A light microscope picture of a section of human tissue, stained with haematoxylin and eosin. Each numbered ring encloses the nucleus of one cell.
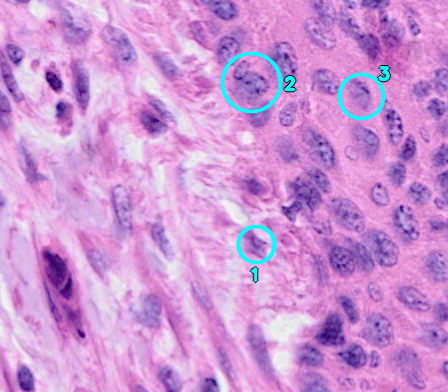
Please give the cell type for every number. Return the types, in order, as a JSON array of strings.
["fibroblast", "squamous carcinoma cell", "squamous carcinoma cell"]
